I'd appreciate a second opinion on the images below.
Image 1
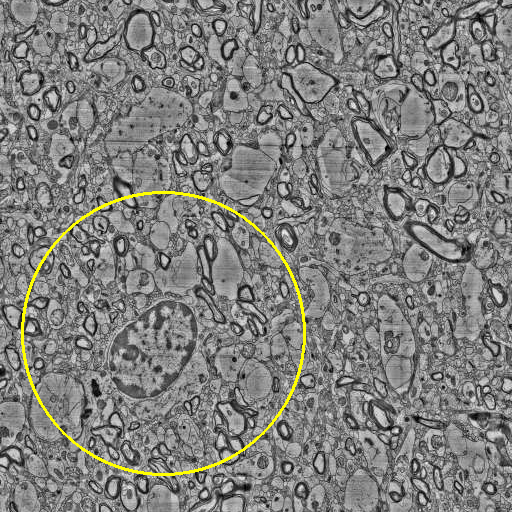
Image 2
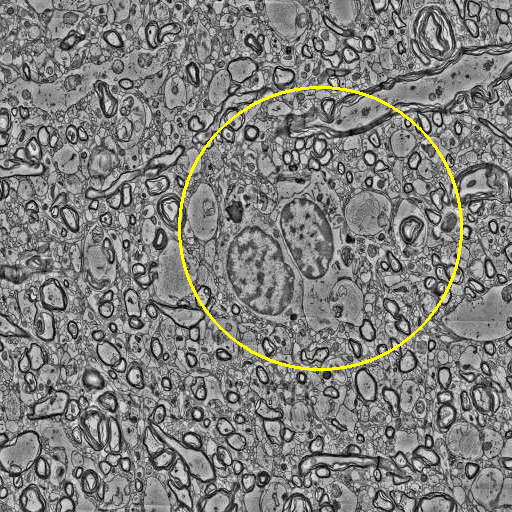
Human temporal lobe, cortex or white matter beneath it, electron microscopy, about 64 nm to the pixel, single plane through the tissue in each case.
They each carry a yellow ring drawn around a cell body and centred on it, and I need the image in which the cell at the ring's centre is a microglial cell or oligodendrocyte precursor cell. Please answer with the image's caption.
Image 1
